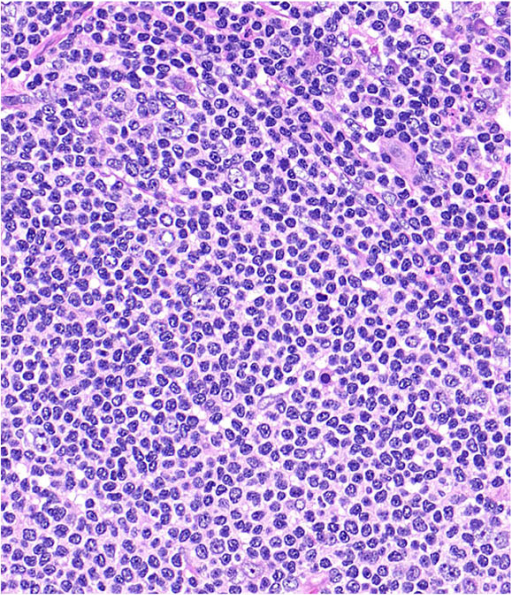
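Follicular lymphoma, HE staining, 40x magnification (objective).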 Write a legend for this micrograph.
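Most nuclei are small, round to slightly irregular and darkly stained, with little visible cytoplasm, so the field looks deep purple. Scattered among them are occasional larger cells with paler, more open nuclei. Thin pink strands of stroma and small vessels cross the field here and there, and faint pink cytoplasm of occasional larger cells can be seen between the packed nuclei.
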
